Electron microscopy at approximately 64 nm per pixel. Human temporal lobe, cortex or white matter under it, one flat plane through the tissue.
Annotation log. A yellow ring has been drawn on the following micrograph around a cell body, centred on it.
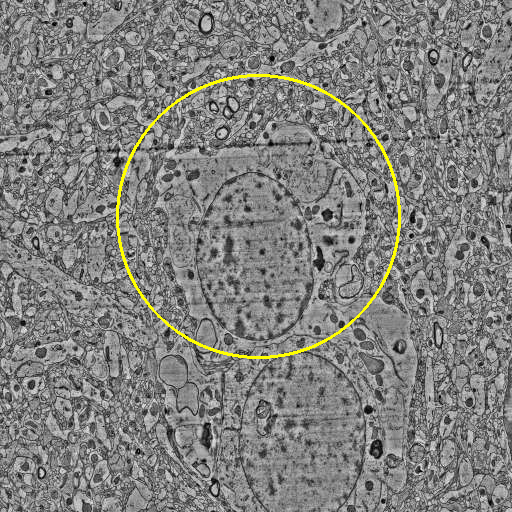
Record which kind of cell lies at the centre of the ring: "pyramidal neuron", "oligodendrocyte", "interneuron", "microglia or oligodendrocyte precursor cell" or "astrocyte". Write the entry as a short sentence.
The cell the ring is centred on is an astrocyte.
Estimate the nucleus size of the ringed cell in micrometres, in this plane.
The nucleus works out at approximately 11 by 7 micrometres in this plane.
